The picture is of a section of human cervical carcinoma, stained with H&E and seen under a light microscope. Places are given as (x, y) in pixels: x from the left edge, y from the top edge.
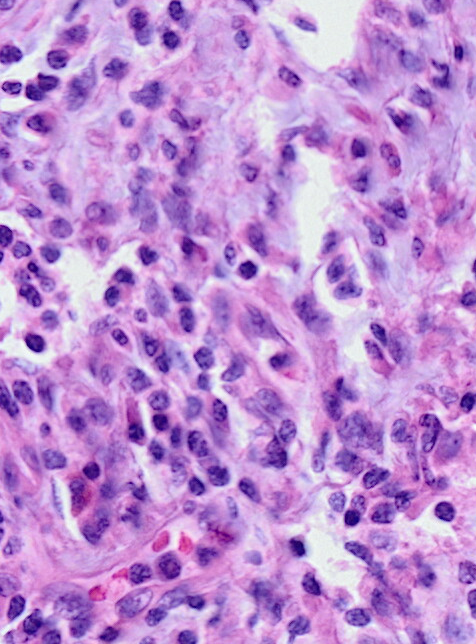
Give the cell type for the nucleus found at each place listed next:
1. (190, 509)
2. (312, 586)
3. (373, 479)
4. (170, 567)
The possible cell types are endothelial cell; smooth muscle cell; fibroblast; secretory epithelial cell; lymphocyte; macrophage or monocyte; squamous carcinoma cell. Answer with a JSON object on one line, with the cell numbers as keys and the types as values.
{"1": "endothelial cell", "2": "lymphocyte", "3": "lymphocyte", "4": "endothelial cell"}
